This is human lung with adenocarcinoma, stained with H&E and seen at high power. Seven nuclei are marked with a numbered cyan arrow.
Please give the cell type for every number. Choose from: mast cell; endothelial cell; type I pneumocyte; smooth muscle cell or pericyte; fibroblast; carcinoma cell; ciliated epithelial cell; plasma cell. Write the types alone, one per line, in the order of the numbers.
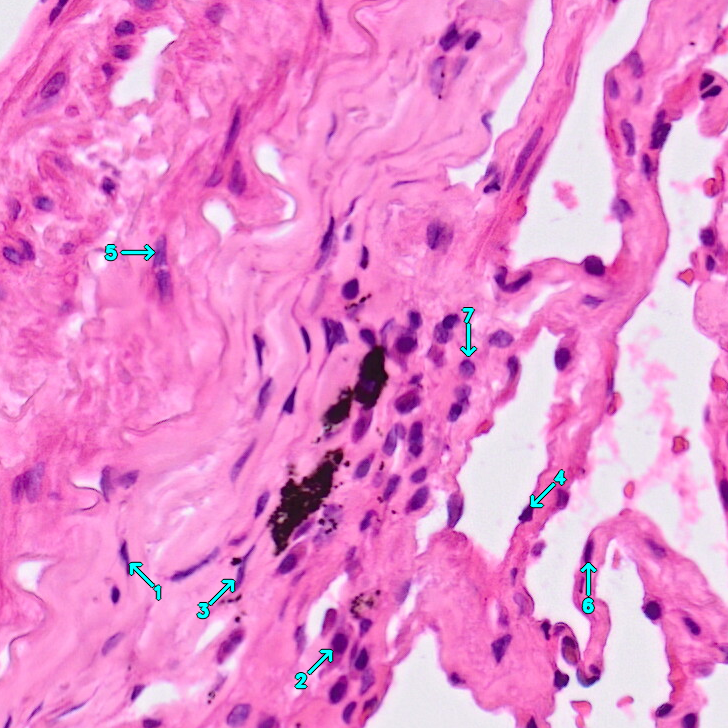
fibroblast
plasma cell
fibroblast
type I pneumocyte
smooth muscle cell or pericyte
endothelial cell
mast cell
